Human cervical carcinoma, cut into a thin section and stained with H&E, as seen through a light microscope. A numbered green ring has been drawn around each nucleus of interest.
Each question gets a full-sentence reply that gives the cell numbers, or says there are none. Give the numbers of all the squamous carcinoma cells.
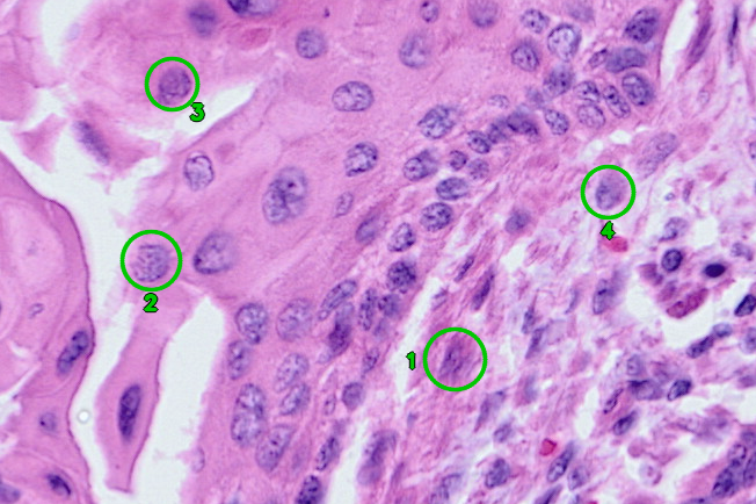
The cells the numbers 2 and 3 point to are squamous carcinoma cells.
